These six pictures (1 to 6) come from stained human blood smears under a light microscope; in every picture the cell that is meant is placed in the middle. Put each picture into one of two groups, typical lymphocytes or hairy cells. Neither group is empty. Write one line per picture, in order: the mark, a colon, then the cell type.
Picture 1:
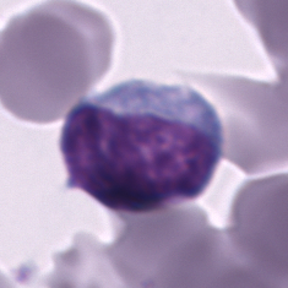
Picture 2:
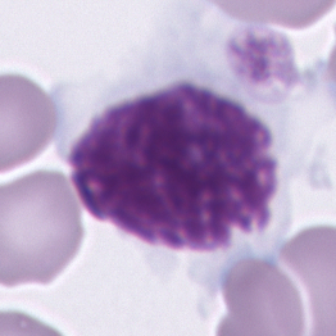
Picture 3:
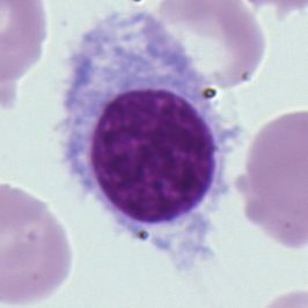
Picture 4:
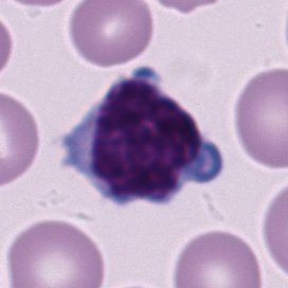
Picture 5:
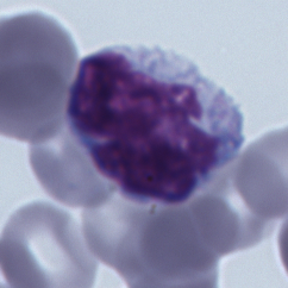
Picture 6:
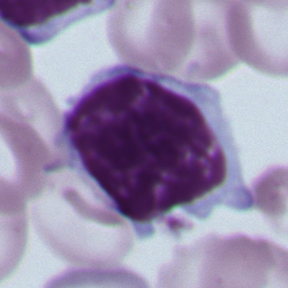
1: typical lymphocyte
2: hairy cell
3: hairy cell
4: typical lymphocyte
5: typical lymphocyte
6: typical lymphocyte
